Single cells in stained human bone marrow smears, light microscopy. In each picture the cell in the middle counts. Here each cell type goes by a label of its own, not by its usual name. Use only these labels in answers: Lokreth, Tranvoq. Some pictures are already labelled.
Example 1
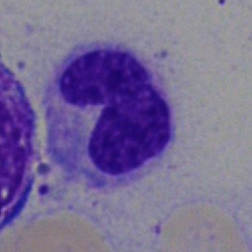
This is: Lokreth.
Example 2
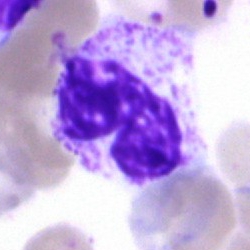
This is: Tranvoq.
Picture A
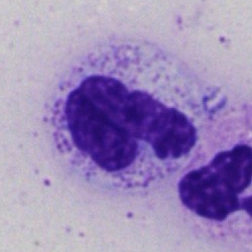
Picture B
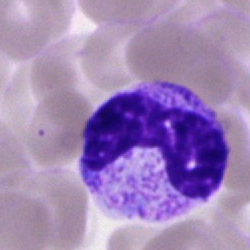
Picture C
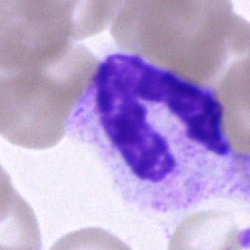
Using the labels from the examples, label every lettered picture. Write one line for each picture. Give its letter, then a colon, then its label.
A: Tranvoq.
B: Lokreth.
C: Lokreth.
